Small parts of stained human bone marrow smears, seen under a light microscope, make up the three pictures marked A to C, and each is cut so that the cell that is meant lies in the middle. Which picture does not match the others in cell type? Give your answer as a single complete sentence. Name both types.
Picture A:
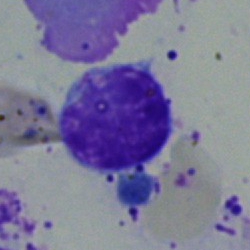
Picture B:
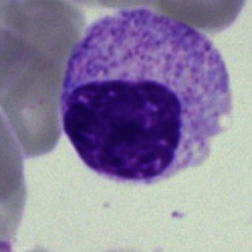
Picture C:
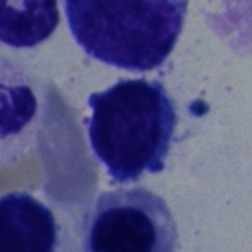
The others show lymphocytes, but picture B shows a myelocyte.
